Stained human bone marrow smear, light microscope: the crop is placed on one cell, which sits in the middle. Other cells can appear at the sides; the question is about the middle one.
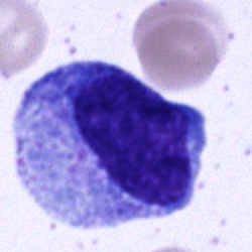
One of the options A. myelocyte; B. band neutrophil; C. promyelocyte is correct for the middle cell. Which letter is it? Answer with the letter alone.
C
